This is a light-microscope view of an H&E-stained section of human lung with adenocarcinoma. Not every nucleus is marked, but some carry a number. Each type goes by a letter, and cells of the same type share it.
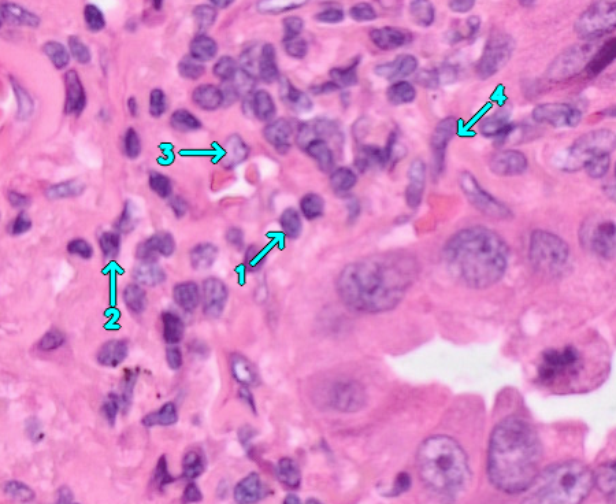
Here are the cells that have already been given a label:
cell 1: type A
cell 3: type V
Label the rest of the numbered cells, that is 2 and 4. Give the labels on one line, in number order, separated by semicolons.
type A; type V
